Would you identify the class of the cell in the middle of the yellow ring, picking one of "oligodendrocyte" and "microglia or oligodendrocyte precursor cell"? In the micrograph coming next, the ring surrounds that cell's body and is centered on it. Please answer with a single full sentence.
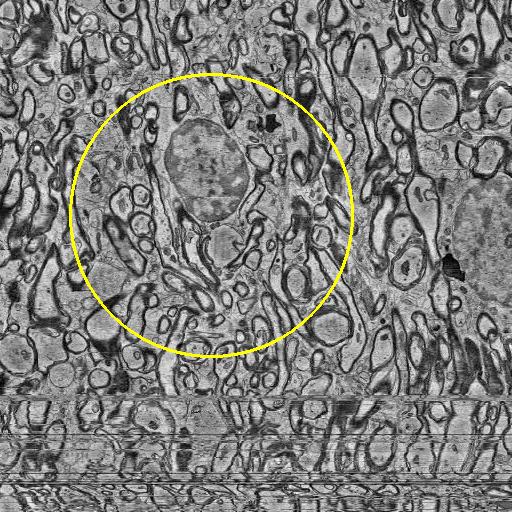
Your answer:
In the micrograph, it is a microglial cell or oligodendrocyte precursor cell whose body lies at the ring's center.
